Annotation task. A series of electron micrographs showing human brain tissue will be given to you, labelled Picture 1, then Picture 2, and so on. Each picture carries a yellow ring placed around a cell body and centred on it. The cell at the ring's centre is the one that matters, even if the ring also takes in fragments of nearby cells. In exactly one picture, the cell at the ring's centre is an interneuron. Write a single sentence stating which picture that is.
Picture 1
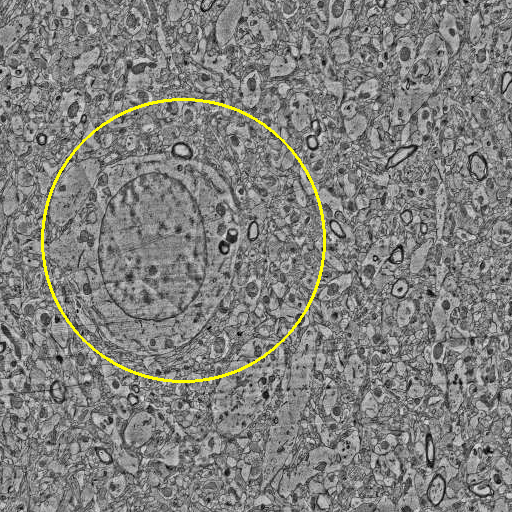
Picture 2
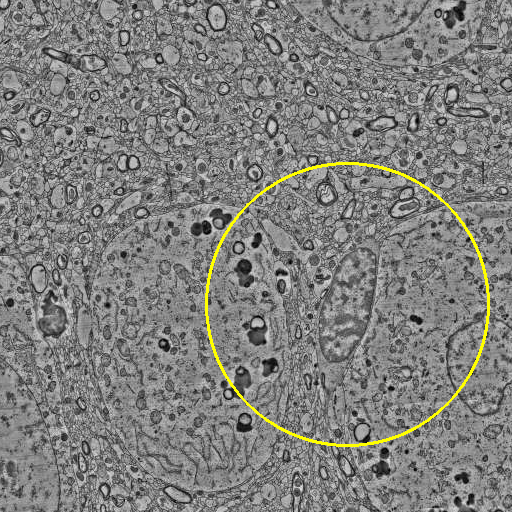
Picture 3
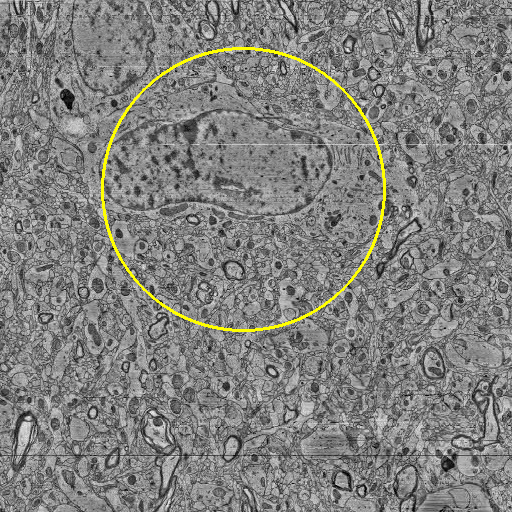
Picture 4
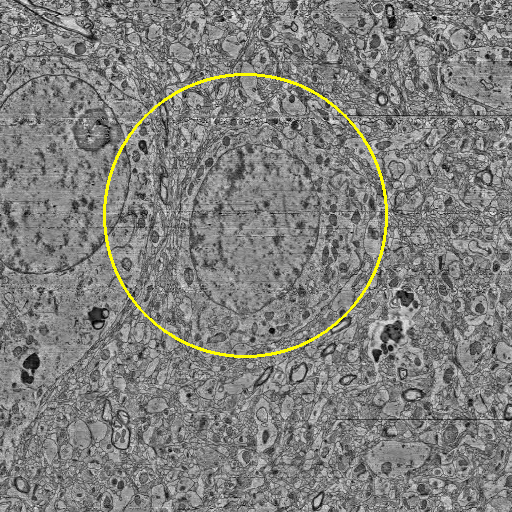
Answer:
Picture 4 holds the requested cell at the very centre of its ring.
